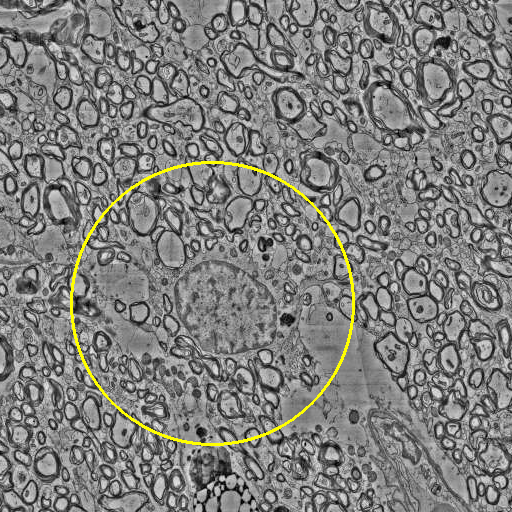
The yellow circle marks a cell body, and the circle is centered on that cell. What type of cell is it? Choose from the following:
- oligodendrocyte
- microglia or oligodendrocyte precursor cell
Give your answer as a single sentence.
This cell body belongs to an oligodendrocyte.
